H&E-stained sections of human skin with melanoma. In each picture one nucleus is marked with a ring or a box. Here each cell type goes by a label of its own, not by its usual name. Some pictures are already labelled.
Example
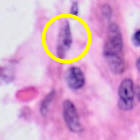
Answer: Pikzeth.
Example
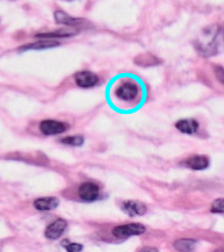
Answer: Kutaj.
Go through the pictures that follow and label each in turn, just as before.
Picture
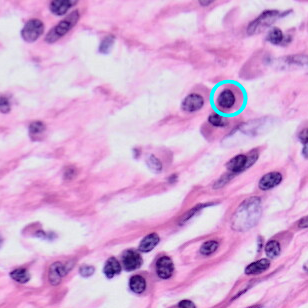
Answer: Kutaj.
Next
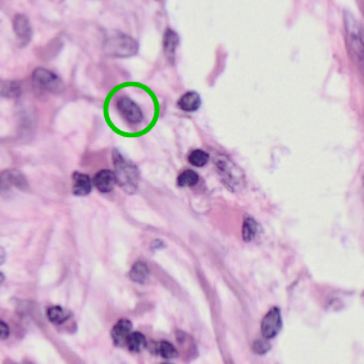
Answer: Kutaj.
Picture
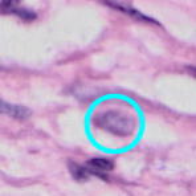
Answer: Pikzeth.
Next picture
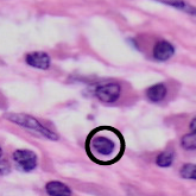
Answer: Kutaj.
